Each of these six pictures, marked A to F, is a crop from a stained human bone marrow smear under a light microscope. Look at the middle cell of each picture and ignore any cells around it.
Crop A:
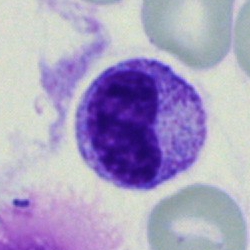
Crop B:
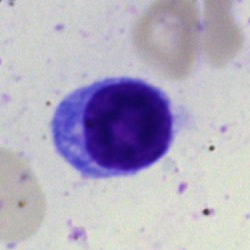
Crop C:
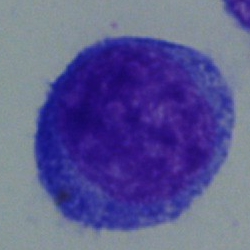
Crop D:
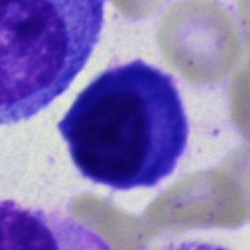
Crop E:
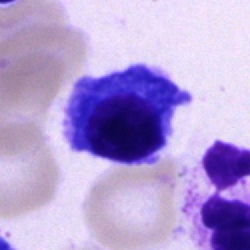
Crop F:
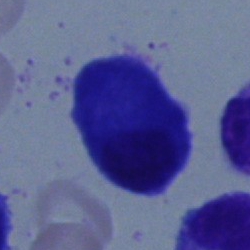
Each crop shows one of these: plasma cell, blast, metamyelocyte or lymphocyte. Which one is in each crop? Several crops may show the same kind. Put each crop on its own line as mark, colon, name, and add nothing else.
A: metamyelocyte
B: lymphocyte
C: blast
D: plasma cell
E: plasma cell
F: plasma cell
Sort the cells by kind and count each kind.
plasma cell: 3
metamyelocyte: 1
lymphocyte: 1
blast: 1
